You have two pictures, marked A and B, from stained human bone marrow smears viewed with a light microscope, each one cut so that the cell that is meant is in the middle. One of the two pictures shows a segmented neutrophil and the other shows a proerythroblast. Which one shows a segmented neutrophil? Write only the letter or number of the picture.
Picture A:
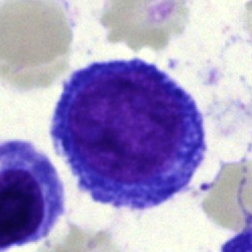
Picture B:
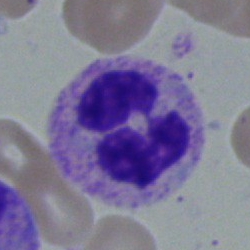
B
